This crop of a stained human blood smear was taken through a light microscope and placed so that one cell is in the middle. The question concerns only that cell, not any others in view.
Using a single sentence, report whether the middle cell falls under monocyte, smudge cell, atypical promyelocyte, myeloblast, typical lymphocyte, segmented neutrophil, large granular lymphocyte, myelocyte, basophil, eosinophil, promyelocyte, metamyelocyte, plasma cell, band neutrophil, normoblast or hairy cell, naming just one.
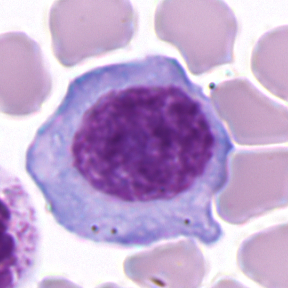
In the central position of this crop, the cell is a plasma cell.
